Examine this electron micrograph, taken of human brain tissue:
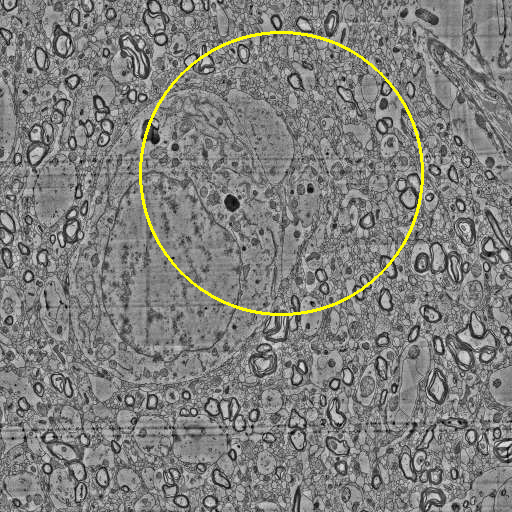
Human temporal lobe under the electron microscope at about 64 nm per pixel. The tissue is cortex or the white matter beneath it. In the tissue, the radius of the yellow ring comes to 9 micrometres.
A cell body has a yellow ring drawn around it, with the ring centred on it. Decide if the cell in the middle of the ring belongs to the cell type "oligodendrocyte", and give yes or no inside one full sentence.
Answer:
Yes, the cell at the centre of the yellow ring in this picture is of that type.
